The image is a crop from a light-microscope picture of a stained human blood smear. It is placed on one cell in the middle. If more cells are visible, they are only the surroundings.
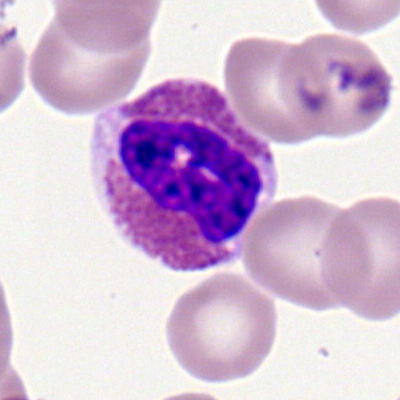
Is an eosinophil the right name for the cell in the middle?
yes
